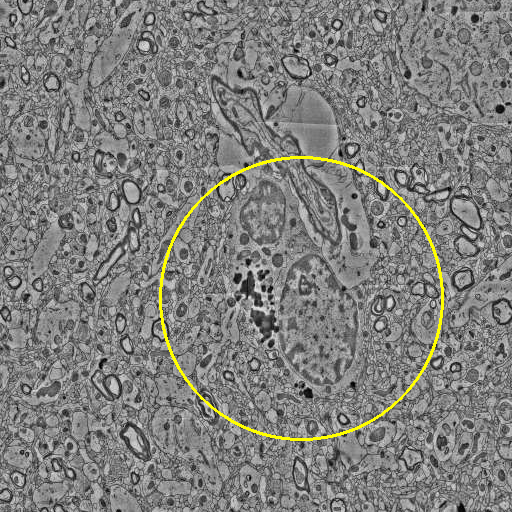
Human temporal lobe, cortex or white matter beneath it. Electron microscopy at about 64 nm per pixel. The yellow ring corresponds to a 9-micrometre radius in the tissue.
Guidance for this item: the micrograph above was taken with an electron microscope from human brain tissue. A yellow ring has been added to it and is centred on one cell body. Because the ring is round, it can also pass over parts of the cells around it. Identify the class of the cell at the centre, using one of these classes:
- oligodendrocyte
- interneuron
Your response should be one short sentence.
The ring surrounds the body of an oligodendrocyte.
